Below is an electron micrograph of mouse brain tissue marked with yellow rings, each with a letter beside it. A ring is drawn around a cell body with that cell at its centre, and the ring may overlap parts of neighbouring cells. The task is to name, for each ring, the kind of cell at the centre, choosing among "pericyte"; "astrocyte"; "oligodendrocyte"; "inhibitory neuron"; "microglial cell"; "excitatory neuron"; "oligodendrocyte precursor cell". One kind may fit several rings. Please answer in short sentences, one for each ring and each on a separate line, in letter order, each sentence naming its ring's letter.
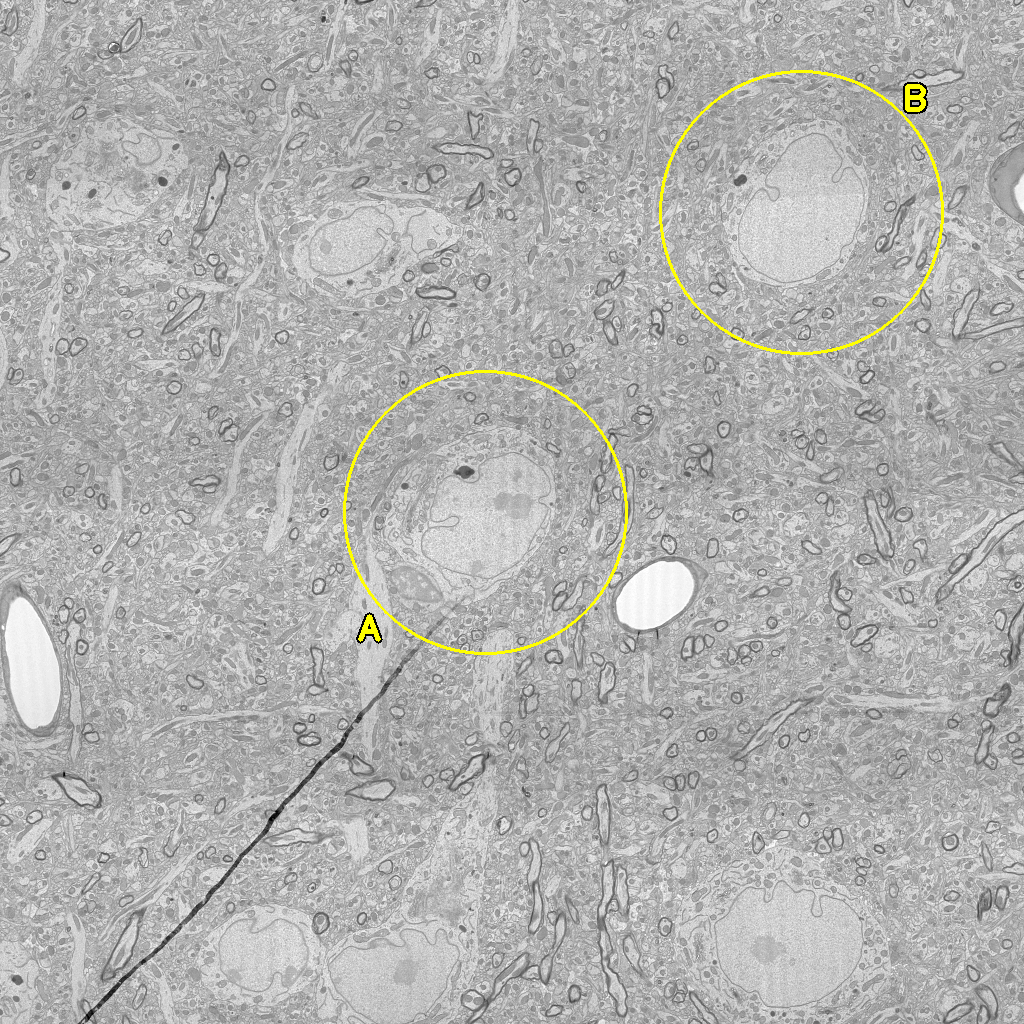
The ring with letter A is centred on an inhibitory neuron.
The ring with letter B is centred on an excitatory neuron.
